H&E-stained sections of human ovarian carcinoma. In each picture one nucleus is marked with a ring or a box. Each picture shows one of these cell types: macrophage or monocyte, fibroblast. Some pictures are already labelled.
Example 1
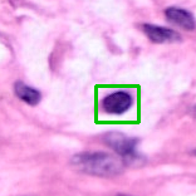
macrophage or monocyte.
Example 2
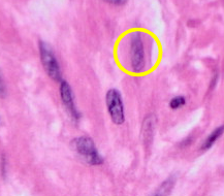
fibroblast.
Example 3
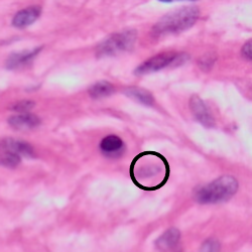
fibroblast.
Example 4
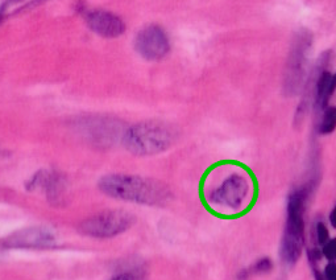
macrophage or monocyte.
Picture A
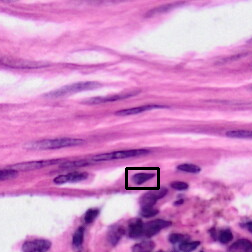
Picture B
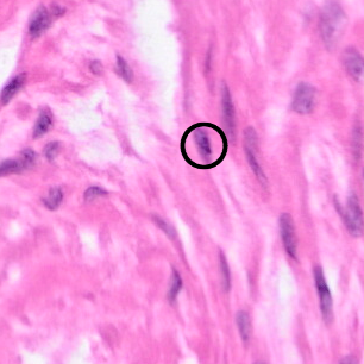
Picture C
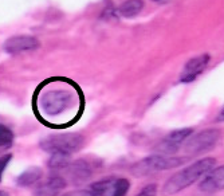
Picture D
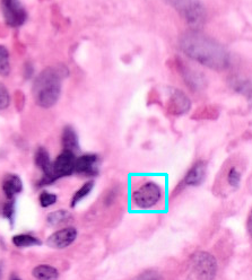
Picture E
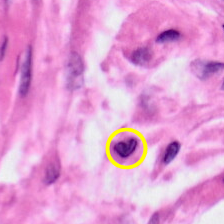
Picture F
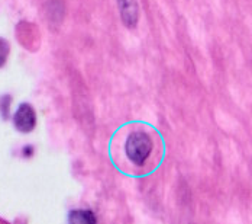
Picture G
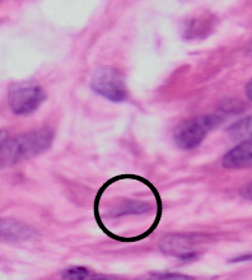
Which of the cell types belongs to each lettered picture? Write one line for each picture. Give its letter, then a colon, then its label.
A: macrophage or monocyte.
B: fibroblast.
C: macrophage or monocyte.
D: macrophage or monocyte.
E: macrophage or monocyte.
F: macrophage or monocyte.
G: fibroblast.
